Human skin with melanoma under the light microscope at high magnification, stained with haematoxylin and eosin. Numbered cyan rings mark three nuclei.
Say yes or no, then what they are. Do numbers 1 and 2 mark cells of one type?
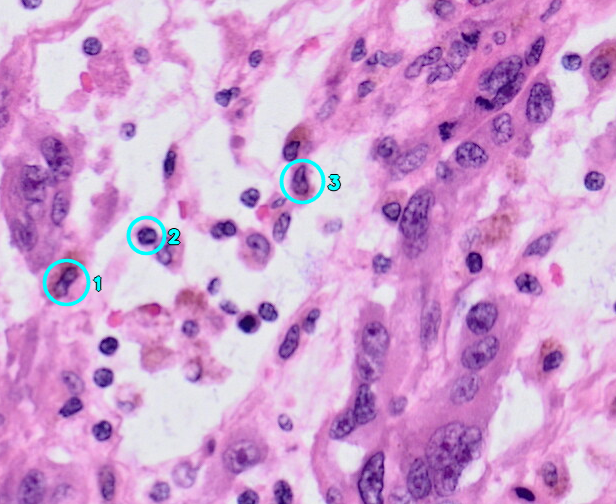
No, that's off: cell 1 is a macrophage or monocyte and cell 2 is a lymphocyte.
